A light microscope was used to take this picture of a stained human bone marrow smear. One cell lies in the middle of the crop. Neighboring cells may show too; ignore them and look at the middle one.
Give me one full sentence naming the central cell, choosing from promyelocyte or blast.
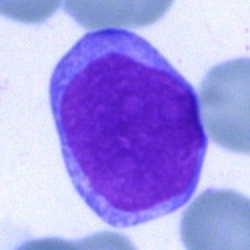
At the middle of the frame sits a blast.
